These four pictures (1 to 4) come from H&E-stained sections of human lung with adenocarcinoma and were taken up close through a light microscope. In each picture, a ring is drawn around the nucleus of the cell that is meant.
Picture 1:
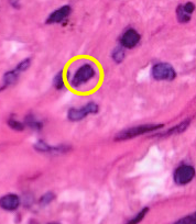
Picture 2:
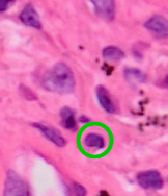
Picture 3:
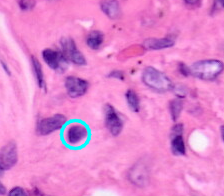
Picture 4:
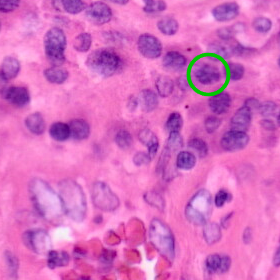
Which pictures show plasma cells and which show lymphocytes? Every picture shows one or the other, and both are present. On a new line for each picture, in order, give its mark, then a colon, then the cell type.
1: lymphocyte
2: lymphocyte
3: lymphocyte
4: plasma cell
